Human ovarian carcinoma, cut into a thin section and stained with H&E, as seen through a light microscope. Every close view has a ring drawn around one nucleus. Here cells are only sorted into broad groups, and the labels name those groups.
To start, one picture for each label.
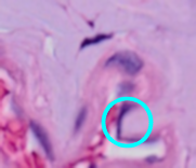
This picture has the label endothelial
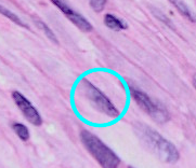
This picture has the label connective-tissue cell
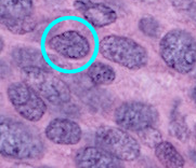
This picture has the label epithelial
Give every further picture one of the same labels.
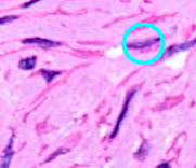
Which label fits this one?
connective-tissue cell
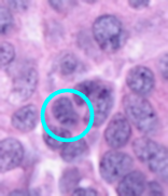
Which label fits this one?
epithelial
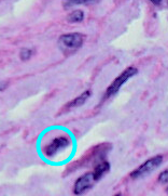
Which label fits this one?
connective-tissue cell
